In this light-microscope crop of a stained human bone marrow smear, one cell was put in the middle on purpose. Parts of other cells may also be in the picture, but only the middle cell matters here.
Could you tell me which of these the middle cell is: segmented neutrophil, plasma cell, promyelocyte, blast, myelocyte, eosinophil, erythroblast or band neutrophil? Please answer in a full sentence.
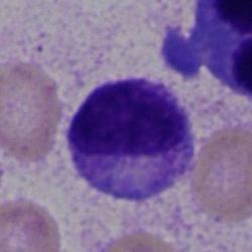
Seen at the centre of the crop is a myelocyte.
